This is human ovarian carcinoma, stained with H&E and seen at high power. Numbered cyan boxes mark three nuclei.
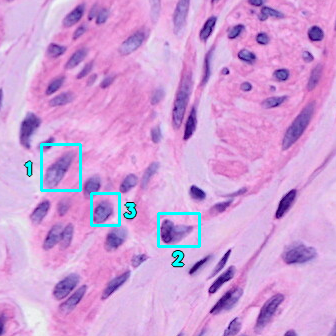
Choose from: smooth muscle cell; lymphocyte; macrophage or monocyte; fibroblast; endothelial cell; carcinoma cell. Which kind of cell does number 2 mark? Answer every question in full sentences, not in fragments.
That cell with number 2 is a fibroblast.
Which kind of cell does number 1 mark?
Among the marked cells, number 1 is a smooth muscle cell.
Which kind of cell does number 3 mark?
Belonging to a smooth muscle cell is the nucleus that carries the number 3.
